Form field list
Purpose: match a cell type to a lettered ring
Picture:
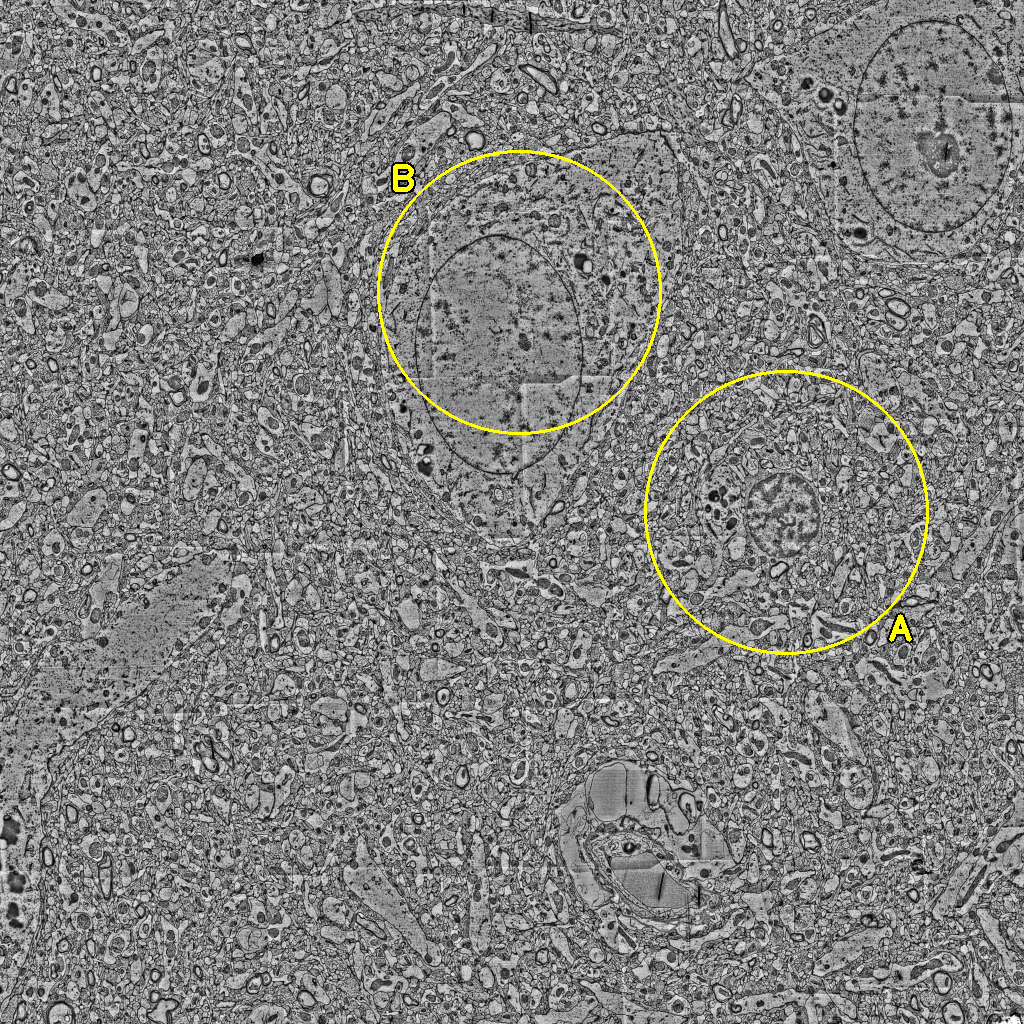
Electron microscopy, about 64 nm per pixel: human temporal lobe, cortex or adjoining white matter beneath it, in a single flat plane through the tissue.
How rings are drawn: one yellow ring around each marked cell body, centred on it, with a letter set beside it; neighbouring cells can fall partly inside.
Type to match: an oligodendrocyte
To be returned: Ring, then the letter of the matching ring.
Ring A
